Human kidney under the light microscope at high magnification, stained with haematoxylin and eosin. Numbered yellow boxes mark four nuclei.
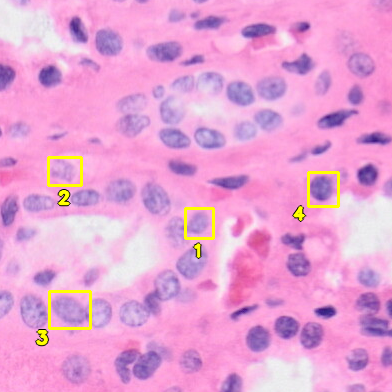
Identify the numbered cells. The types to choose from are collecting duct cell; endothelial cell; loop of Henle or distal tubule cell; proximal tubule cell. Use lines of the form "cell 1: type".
cell 1: collecting duct cell
cell 2: loop of Henle or distal tubule cell
cell 3: collecting duct cell
cell 4: loop of Henle or distal tubule cell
